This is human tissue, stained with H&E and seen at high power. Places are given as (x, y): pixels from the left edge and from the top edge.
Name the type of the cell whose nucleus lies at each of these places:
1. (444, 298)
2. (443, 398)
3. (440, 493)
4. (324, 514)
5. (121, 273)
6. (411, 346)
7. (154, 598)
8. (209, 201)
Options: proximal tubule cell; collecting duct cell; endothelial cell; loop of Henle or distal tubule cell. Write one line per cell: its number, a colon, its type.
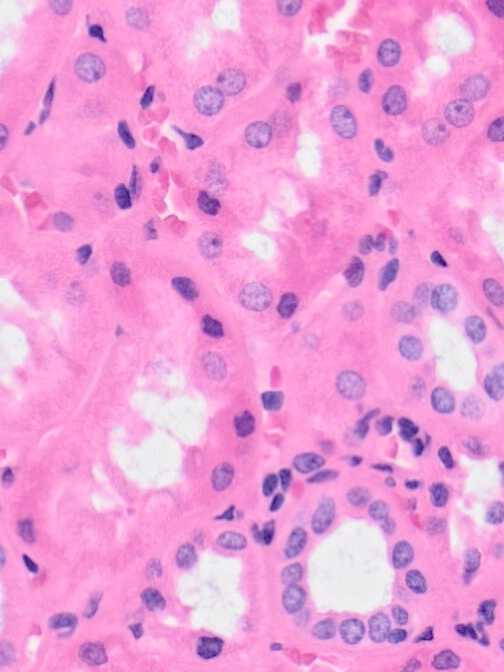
1: collecting duct cell
2: collecting duct cell
3: loop of Henle or distal tubule cell
4: collecting duct cell
5: proximal tubule cell
6: collecting duct cell
7: loop of Henle or distal tubule cell
8: proximal tubule cell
